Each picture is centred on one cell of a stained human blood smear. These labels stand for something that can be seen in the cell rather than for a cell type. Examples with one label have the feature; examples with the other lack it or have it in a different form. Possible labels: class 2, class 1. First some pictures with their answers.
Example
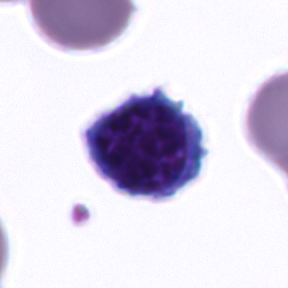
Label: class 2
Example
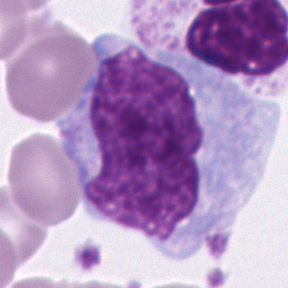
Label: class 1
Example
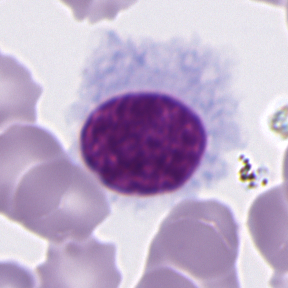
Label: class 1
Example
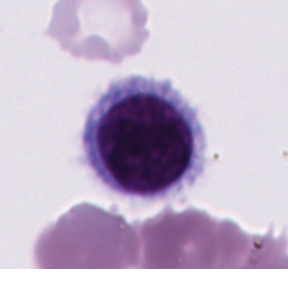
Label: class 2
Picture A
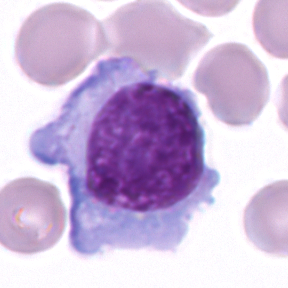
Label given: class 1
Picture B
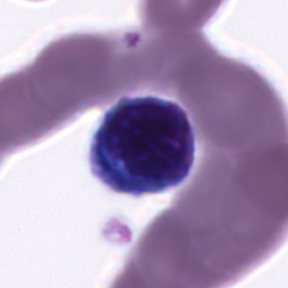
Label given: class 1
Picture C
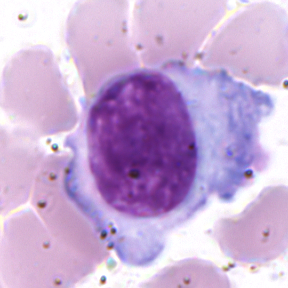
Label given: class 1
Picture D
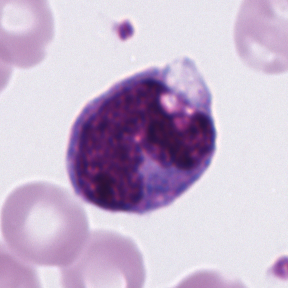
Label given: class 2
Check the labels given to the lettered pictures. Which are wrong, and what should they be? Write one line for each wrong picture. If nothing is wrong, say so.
B: change class 1 to class 2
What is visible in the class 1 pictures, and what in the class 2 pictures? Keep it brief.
class 1: abundant cytoplasm; class 2: scant cytoplasm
